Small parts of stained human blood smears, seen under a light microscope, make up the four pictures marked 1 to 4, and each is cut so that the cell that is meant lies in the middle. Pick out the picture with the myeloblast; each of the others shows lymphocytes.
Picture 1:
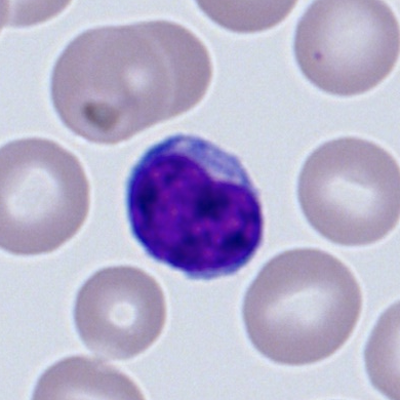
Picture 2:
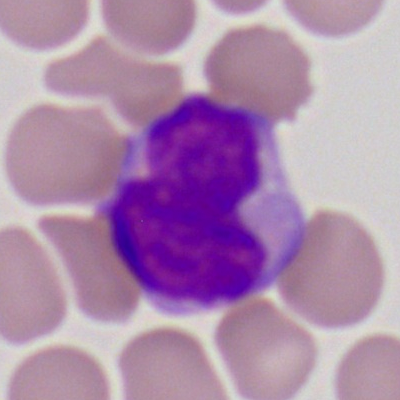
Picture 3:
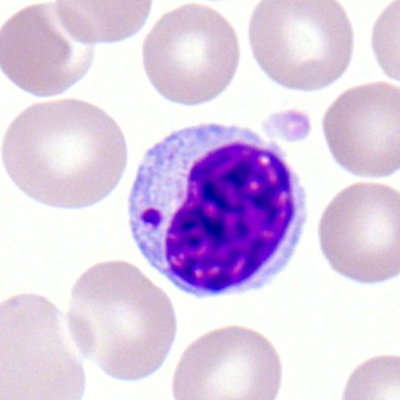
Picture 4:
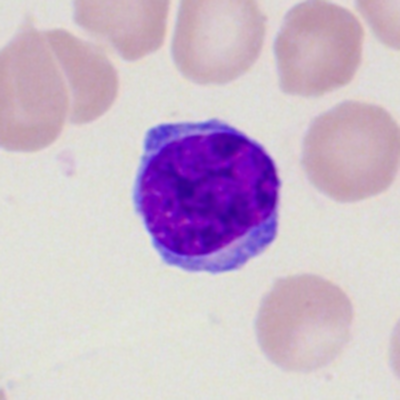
2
